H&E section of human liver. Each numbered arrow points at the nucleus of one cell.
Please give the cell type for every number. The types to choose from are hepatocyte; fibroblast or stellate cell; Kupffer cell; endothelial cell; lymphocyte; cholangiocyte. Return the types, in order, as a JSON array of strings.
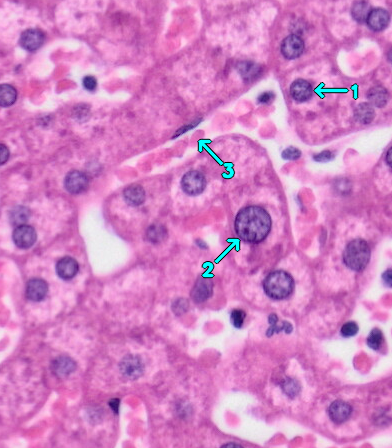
["hepatocyte", "hepatocyte", "endothelial cell"]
